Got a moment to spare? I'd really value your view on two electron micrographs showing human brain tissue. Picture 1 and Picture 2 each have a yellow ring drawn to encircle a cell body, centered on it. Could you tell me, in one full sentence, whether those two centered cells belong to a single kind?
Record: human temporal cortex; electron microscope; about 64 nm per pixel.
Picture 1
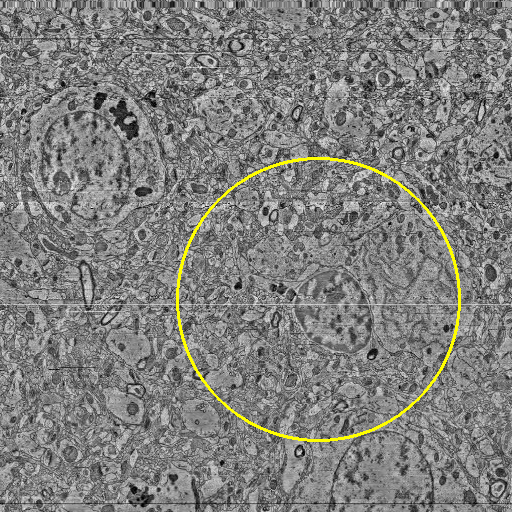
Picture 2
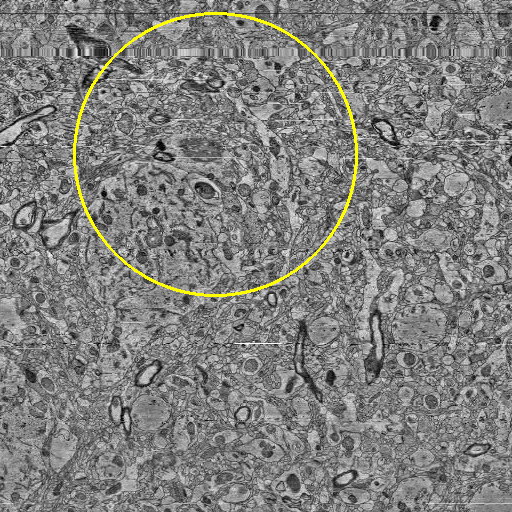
No, the two centered cells in Picture 1 and Picture 2 are of two kinds.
